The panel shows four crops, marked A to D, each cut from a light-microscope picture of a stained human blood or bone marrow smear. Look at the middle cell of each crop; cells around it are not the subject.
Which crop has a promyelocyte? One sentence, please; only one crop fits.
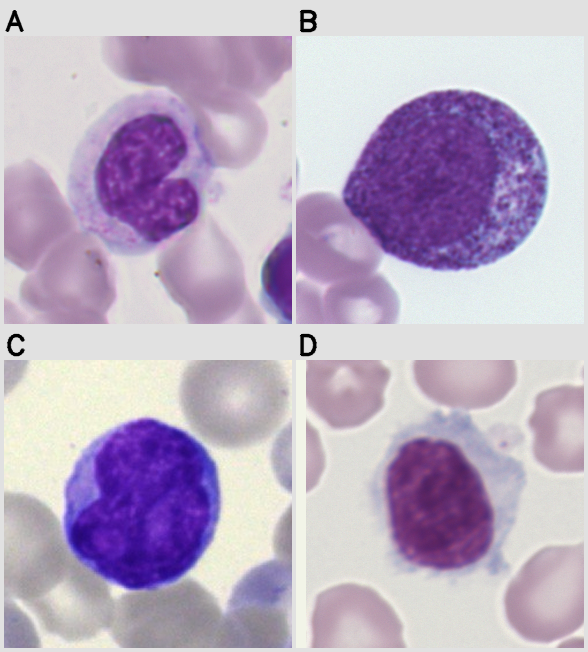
When the crops are compared, crop B is the one showing a promyelocyte.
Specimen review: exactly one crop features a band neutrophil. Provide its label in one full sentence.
Crop A is the right one; it is the crop showing a band neutrophil.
